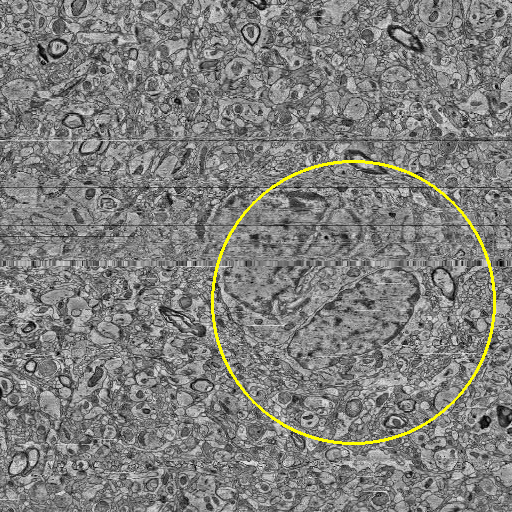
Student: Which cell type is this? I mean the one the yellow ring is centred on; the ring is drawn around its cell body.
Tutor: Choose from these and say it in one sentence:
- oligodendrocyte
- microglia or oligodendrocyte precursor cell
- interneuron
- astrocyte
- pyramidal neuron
The cell the ring is centred on is a microglial cell or oligodendrocyte precursor cell.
